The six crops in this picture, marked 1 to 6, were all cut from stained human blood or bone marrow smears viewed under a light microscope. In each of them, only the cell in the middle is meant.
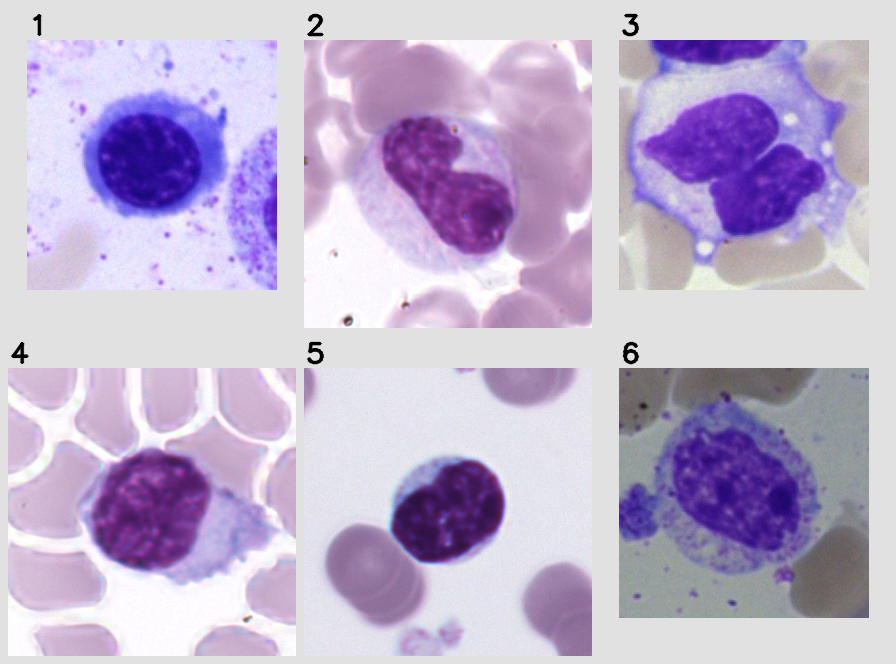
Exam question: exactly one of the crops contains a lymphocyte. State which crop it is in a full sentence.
Crop 5 is the crop that displays a lymphocyte.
